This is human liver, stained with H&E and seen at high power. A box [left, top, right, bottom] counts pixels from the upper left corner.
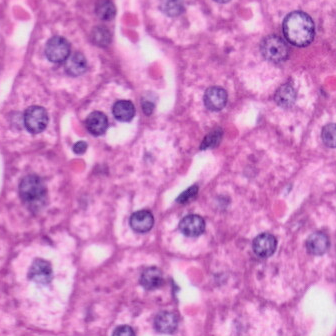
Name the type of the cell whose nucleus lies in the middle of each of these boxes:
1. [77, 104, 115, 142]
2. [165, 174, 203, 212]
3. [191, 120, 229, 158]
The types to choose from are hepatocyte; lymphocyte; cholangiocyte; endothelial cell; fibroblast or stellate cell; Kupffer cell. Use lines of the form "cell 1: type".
cell 1: hepatocyte
cell 2: Kupffer cell
cell 3: endothelial cell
